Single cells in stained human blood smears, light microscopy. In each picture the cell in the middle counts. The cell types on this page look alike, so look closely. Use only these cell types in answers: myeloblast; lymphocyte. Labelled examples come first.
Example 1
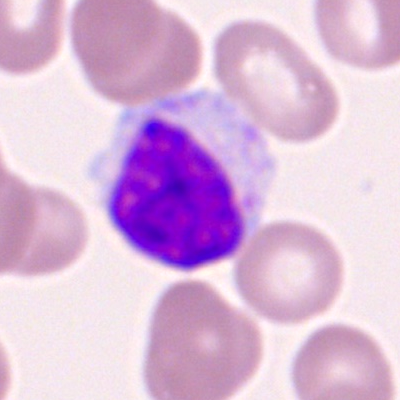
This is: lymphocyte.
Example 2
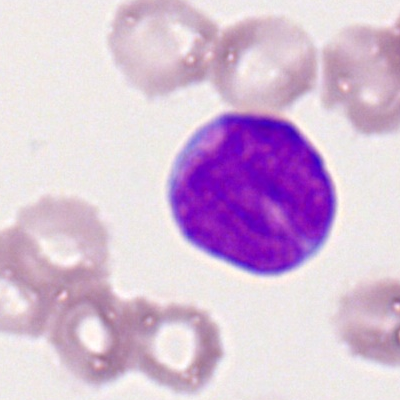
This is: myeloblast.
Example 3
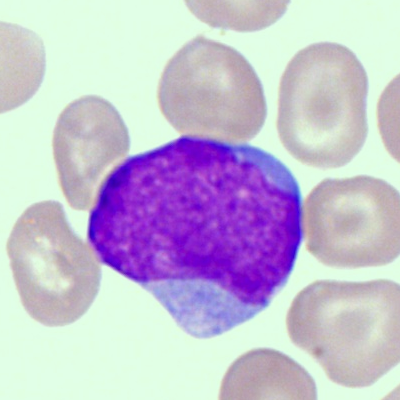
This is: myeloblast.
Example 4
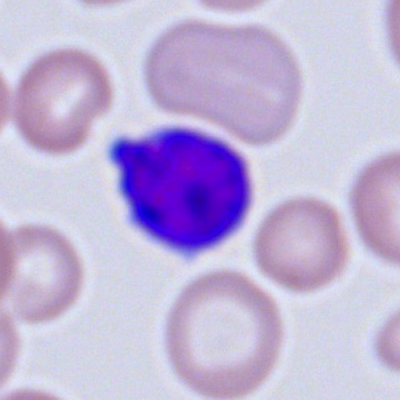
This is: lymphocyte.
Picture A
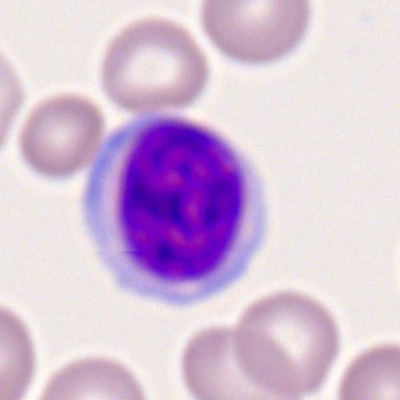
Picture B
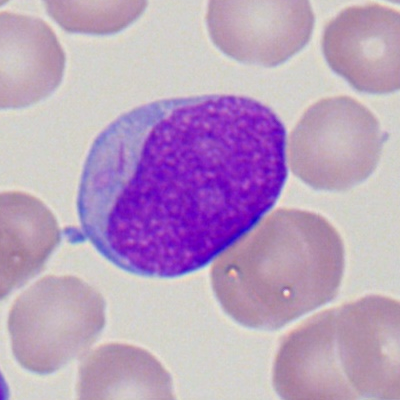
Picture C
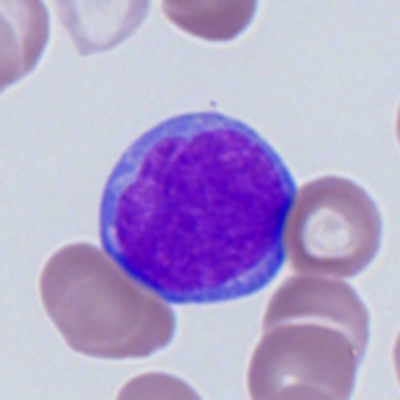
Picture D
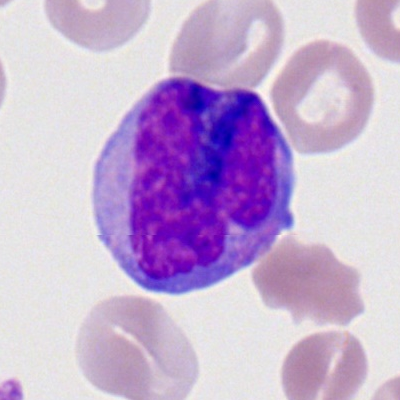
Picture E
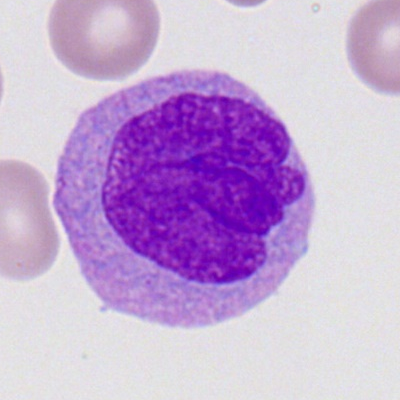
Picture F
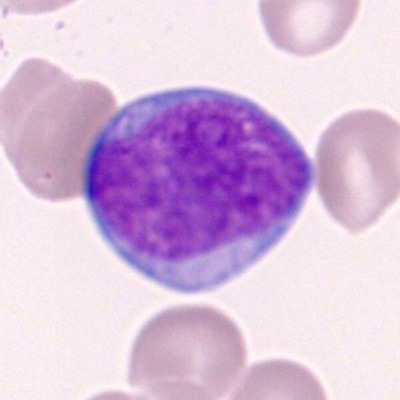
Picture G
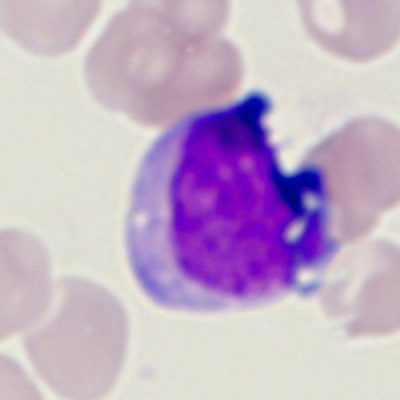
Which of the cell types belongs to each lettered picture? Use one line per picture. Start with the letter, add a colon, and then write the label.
A: lymphocyte.
B: myeloblast.
C: myeloblast.
D: myeloblast.
E: myeloblast.
F: myeloblast.
G: myeloblast.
